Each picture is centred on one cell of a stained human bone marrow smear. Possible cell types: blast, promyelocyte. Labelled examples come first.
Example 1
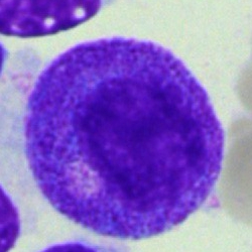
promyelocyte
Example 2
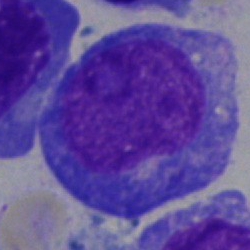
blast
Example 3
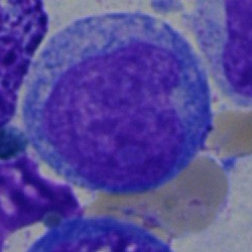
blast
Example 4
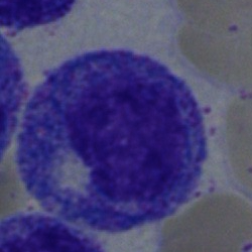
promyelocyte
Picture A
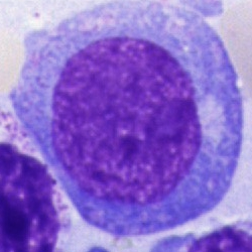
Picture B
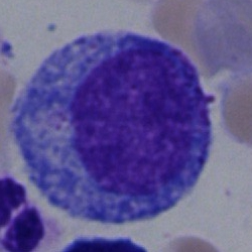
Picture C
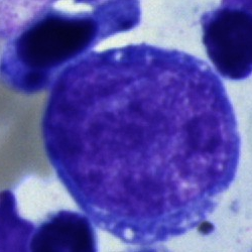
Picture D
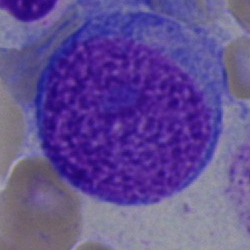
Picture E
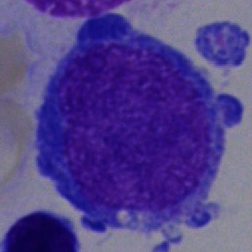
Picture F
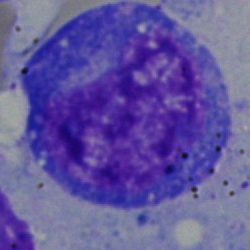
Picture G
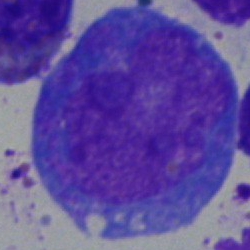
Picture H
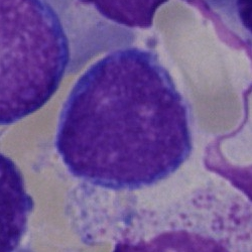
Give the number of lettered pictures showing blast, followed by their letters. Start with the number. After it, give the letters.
Count: 5 (A, C, D, E, H)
